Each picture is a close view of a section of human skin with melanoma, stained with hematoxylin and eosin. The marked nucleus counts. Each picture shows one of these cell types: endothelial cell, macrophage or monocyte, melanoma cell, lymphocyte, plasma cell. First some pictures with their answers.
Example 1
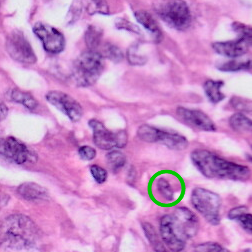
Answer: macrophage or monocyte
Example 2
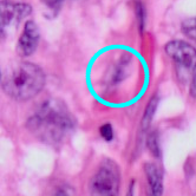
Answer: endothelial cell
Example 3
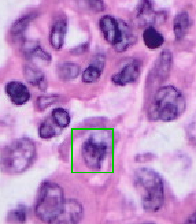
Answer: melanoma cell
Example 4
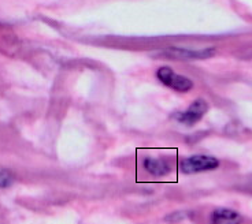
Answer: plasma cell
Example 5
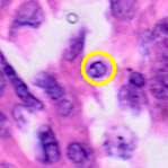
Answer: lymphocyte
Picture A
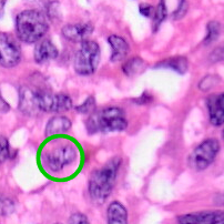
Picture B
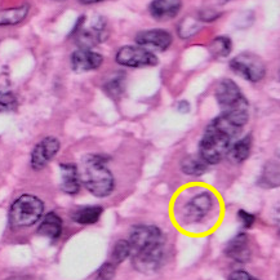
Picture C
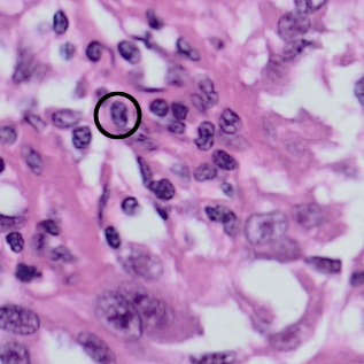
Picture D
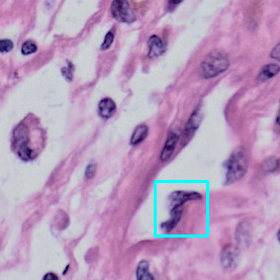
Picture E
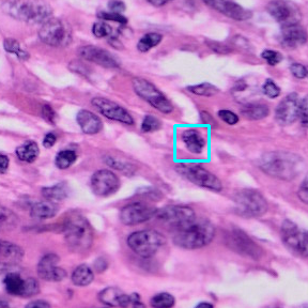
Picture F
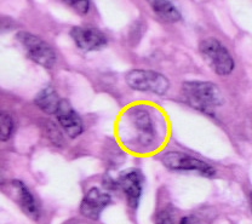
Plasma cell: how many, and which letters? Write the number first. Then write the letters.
0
